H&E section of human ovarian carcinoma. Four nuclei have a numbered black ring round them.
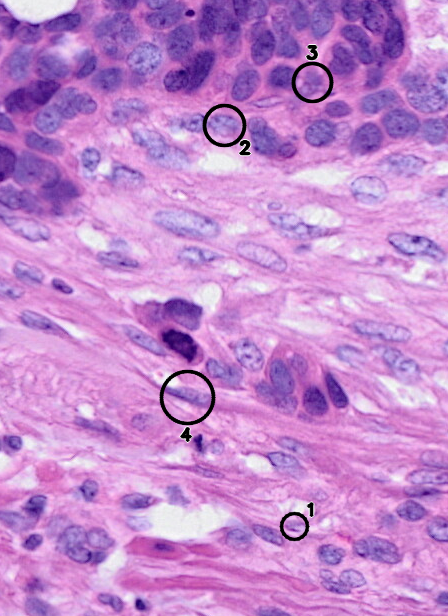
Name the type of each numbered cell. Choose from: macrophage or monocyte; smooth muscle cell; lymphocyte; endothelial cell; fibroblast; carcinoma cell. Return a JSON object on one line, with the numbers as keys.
{"1": "fibroblast", "2": "fibroblast", "3": "carcinoma cell", "4": "fibroblast"}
